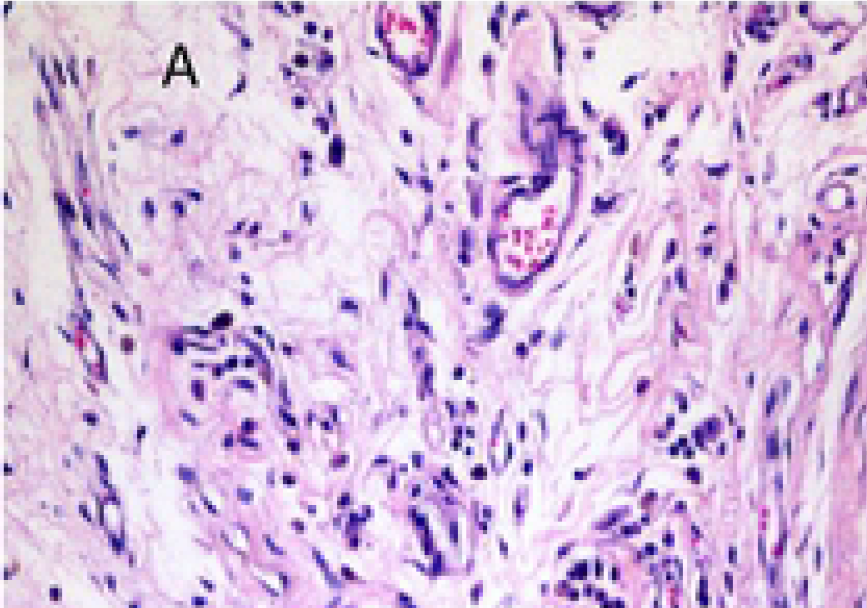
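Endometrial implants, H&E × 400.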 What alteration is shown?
Edema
